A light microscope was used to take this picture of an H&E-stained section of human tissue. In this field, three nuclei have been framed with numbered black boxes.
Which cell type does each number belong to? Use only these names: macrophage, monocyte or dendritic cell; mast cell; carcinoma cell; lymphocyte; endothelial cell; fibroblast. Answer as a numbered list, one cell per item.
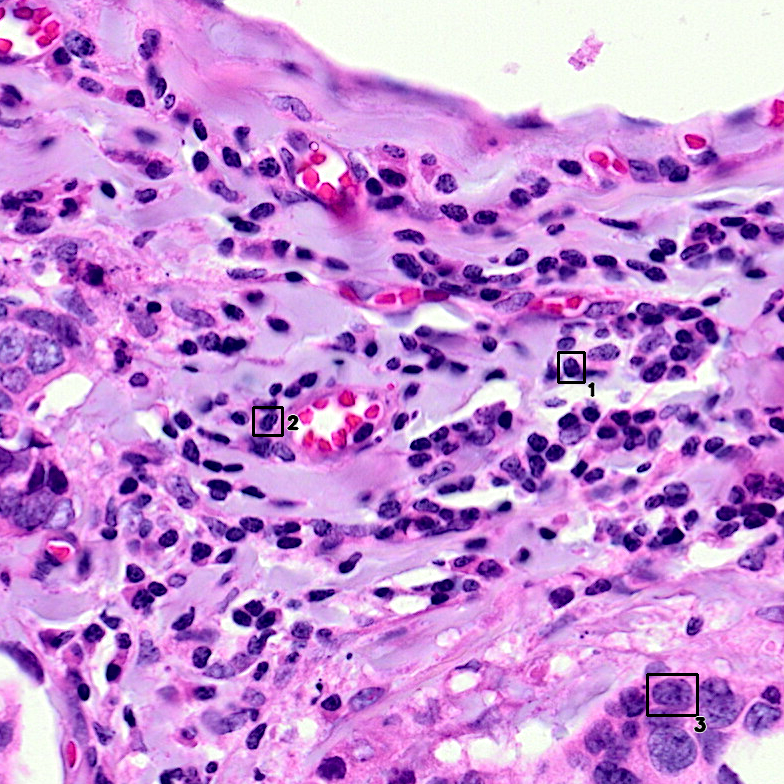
1. lymphocyte
2. lymphocyte
3. carcinoma cell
